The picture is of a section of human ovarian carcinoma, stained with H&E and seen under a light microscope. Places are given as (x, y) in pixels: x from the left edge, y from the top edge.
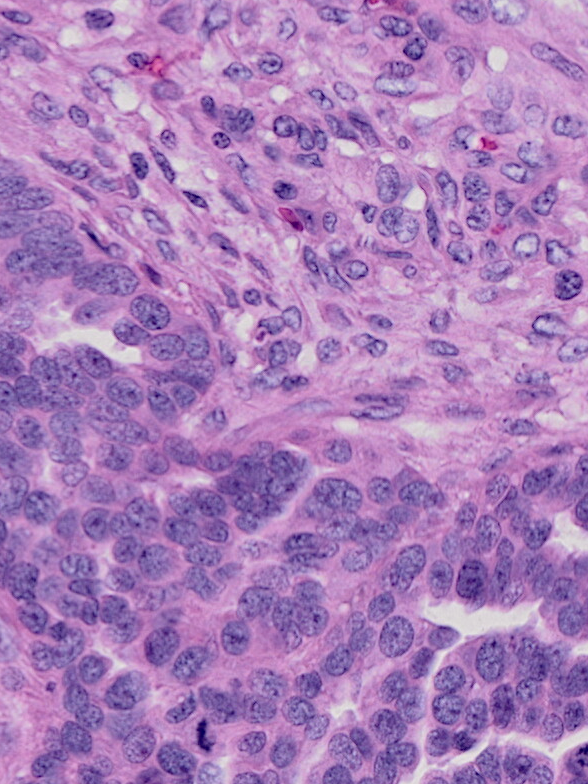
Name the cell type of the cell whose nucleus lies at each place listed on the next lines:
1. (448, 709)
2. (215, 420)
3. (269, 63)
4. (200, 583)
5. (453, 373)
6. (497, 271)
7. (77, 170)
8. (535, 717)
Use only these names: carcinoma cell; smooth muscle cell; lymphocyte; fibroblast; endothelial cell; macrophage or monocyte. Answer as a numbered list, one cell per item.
1. carcinoma cell
2. fibroblast
3. fibroblast
4. carcinoma cell
5. fibroblast
6. fibroblast
7. fibroblast
8. carcinoma cell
